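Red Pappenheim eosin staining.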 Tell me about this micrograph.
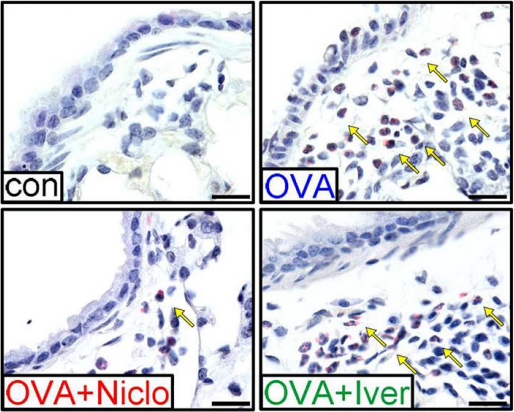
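Airway walls lined by a single layer of columnar epithelium, with the underlying interstitial tissue holding many cells with round blue-purple nuclei. In several images interstitial cells with red-stained cytoplasm lie scattered beneath the epithelium, marked by yellow arrows; they are numerous in two images, few in one and absent in another.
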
